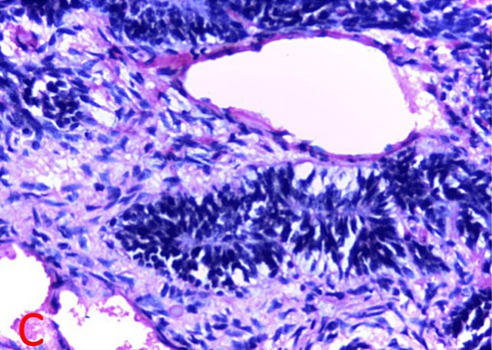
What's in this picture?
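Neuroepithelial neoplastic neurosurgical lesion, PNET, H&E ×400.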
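This is a small blue cell tumour in which atypical blue cells gather into a band of primitive neural tissue at the centre. The central cluster is made of tightly packed cells with dark, hyperchromatic, elongated nuclei that line up side by side like a palisade, with hardly any cytoplasm between them. Around this cluster lies looser, pale pink, finely fibrillary tissue holding scattered spindle-shaped cells. Above it sits a thin-walled vessel with an empty, clear lumen. Further clear spaces show at the lower left edge.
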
